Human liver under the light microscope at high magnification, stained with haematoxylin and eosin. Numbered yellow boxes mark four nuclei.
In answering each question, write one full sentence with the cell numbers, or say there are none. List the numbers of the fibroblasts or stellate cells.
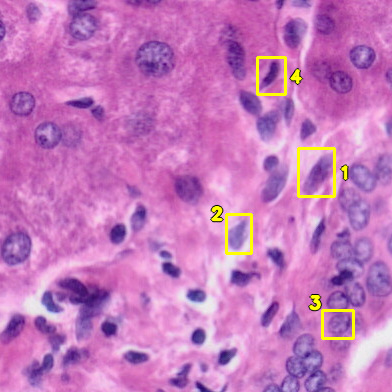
The cells 1, 2 and 4 in this section are fibroblasts or stellate cells.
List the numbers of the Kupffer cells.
Between them, the numbered cells include no Kupffer cells.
